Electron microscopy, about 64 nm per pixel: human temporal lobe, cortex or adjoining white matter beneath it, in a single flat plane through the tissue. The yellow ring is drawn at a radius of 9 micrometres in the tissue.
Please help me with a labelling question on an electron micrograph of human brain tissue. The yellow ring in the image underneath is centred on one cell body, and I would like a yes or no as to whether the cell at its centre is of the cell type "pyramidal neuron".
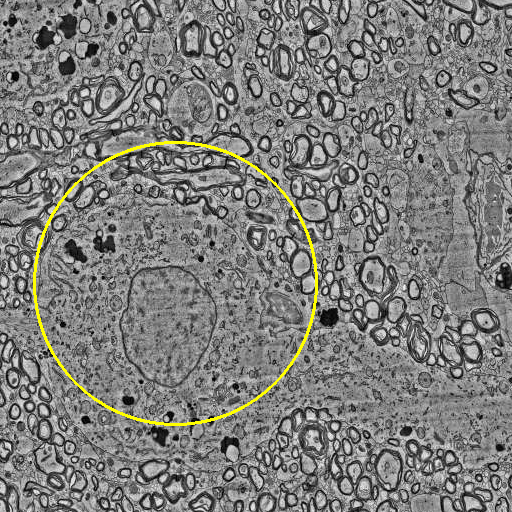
yes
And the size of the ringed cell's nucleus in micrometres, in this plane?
About 8 by 6 micrometers, in this plane.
